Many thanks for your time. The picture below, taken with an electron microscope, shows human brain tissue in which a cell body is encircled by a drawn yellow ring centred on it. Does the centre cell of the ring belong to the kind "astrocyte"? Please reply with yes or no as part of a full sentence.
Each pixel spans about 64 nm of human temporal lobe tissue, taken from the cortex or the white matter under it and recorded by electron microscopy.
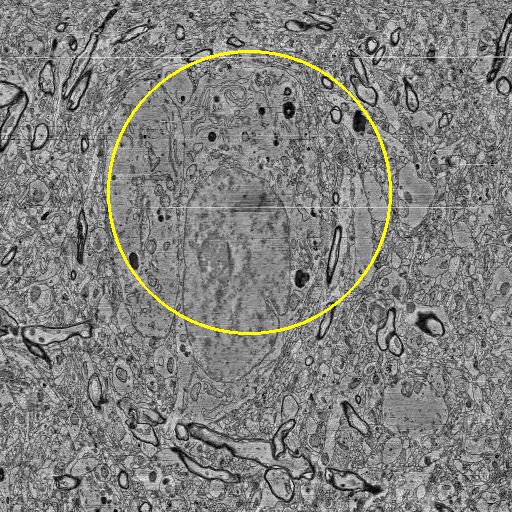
No, in the picture the cell at the ring's centre is of some different kind.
